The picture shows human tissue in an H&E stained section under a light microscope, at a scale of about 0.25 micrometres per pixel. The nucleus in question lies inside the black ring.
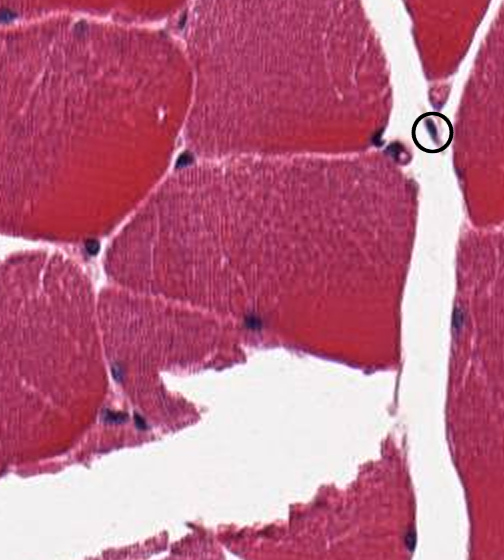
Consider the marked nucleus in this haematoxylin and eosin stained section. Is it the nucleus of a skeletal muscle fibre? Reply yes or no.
no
